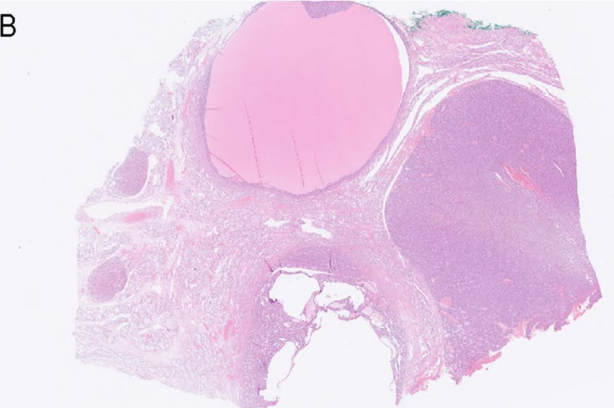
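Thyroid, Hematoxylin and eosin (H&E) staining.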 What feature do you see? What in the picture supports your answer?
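A large round well-demarcated space filled with homogeneous pink material. The nodule is surrounded by a thin rim of tissue. That points to this answer: colloid nodules.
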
